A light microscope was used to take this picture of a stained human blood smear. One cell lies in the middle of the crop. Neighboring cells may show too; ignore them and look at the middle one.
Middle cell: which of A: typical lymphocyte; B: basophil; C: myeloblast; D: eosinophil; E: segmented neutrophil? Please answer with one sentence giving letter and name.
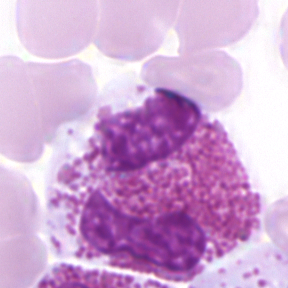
Seen at the centre of the crop is an eosinophil, so option D is correct.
